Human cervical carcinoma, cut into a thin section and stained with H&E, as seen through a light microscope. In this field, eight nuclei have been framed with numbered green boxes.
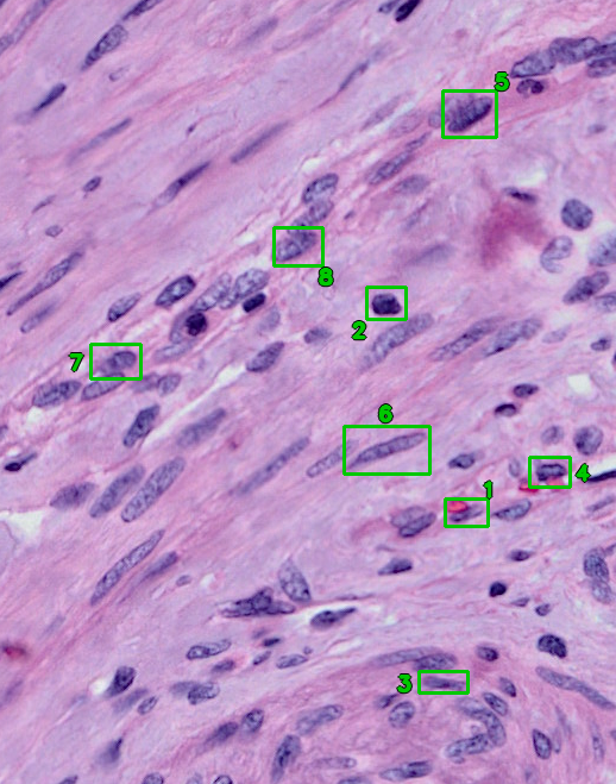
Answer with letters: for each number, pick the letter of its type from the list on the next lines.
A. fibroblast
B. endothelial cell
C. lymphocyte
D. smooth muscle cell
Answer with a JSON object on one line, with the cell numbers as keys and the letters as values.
{"1": "B", "2": "C", "3": "D", "4": "B", "5": "B", "6": "D", "7": "B", "8": "B"}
